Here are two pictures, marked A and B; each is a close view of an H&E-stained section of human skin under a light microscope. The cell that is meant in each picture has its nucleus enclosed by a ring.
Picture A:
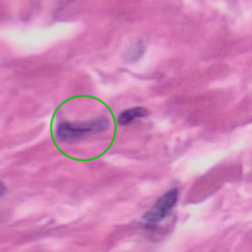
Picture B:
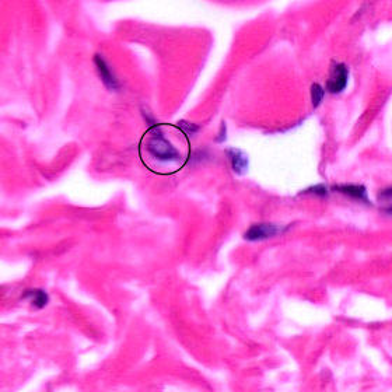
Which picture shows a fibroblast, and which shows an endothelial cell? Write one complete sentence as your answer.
It is picture A that shows a fibroblast, and picture B that shows an endothelial cell.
